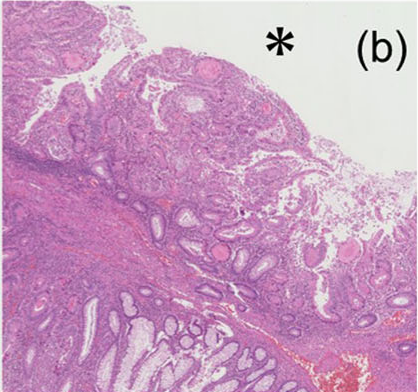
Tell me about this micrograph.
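This is the mucosa of a polyp in which a gland-forming cancer has arisen at the surface. The abnormal glands remain within the mucosa, above a pink band of supporting tissue with small blood vessels.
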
